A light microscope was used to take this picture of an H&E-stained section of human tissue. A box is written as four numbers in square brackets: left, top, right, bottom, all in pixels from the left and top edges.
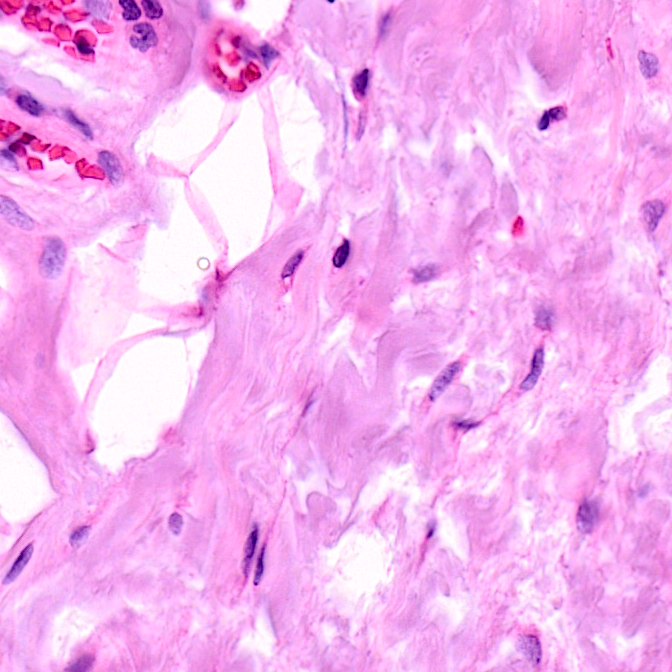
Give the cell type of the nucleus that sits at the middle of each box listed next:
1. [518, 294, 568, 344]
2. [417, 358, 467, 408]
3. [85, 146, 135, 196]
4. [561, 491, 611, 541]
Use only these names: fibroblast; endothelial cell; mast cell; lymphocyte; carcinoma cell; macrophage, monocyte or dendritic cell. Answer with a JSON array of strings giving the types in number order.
["fibroblast", "fibroblast", "endothelial cell", "fibroblast"]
